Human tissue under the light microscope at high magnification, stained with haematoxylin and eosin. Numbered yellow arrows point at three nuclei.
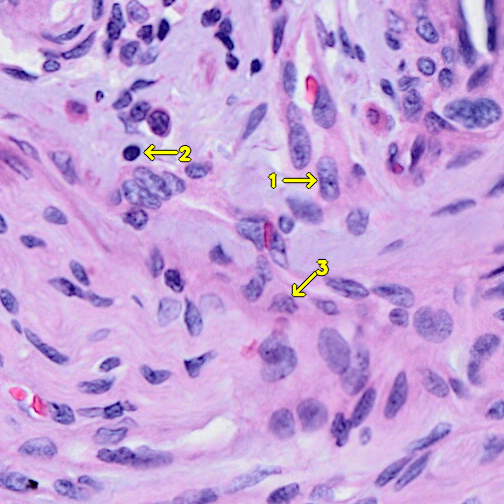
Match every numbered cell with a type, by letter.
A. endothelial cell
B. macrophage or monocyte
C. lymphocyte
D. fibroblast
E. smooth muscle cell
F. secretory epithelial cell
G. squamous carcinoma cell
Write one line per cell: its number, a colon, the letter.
1: A
2: C
3: E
